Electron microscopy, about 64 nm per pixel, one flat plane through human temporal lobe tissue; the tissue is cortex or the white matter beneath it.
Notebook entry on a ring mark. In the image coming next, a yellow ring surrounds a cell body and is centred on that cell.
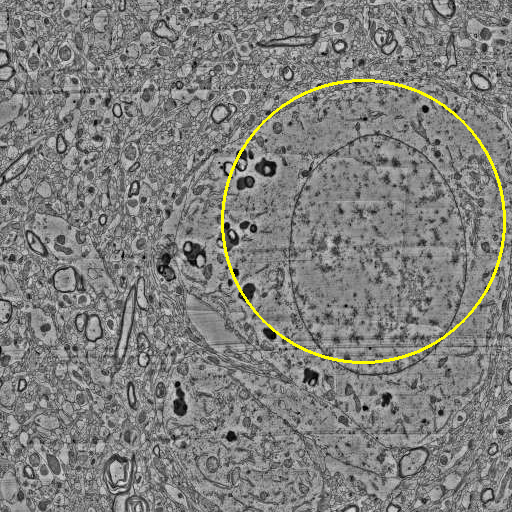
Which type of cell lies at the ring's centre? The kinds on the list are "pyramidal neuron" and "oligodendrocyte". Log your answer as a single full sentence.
Centred in the yellow ring is a pyramidal neuron, the cell recorded for this image.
